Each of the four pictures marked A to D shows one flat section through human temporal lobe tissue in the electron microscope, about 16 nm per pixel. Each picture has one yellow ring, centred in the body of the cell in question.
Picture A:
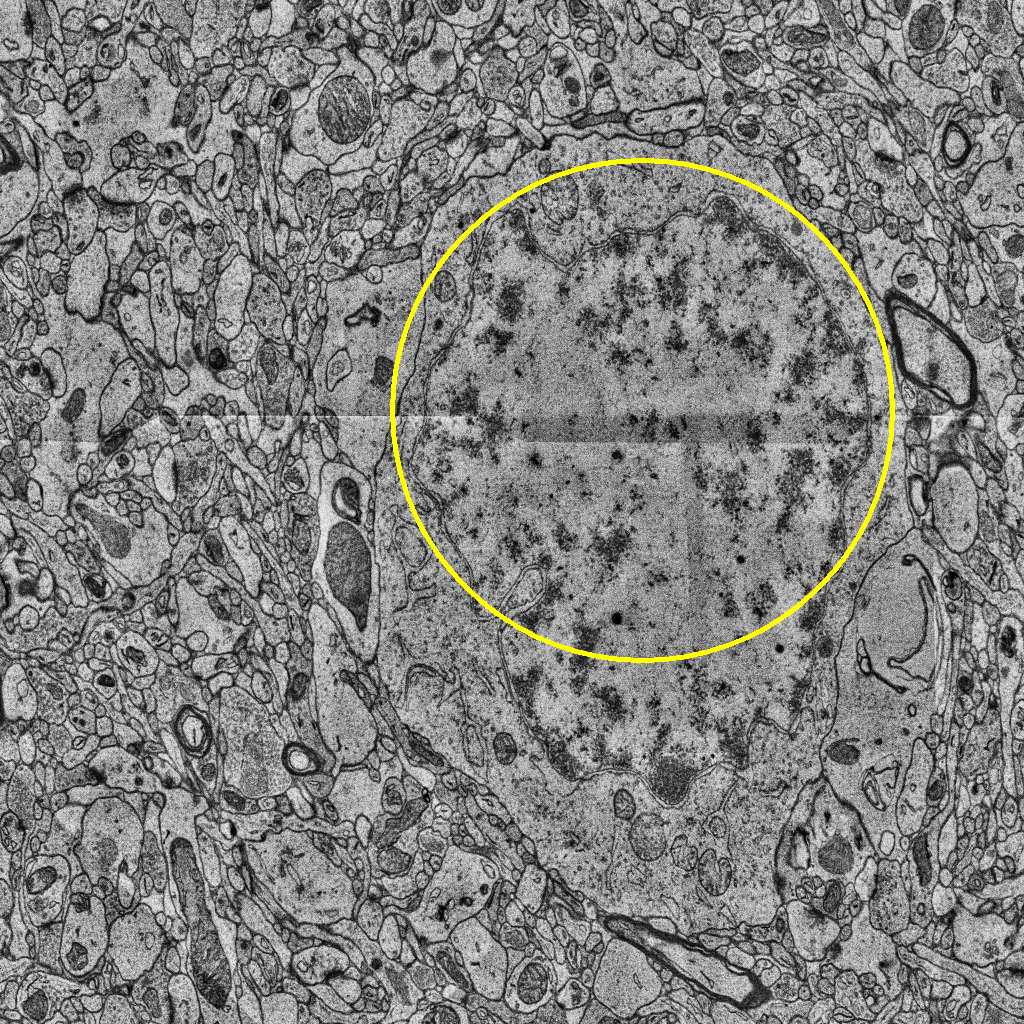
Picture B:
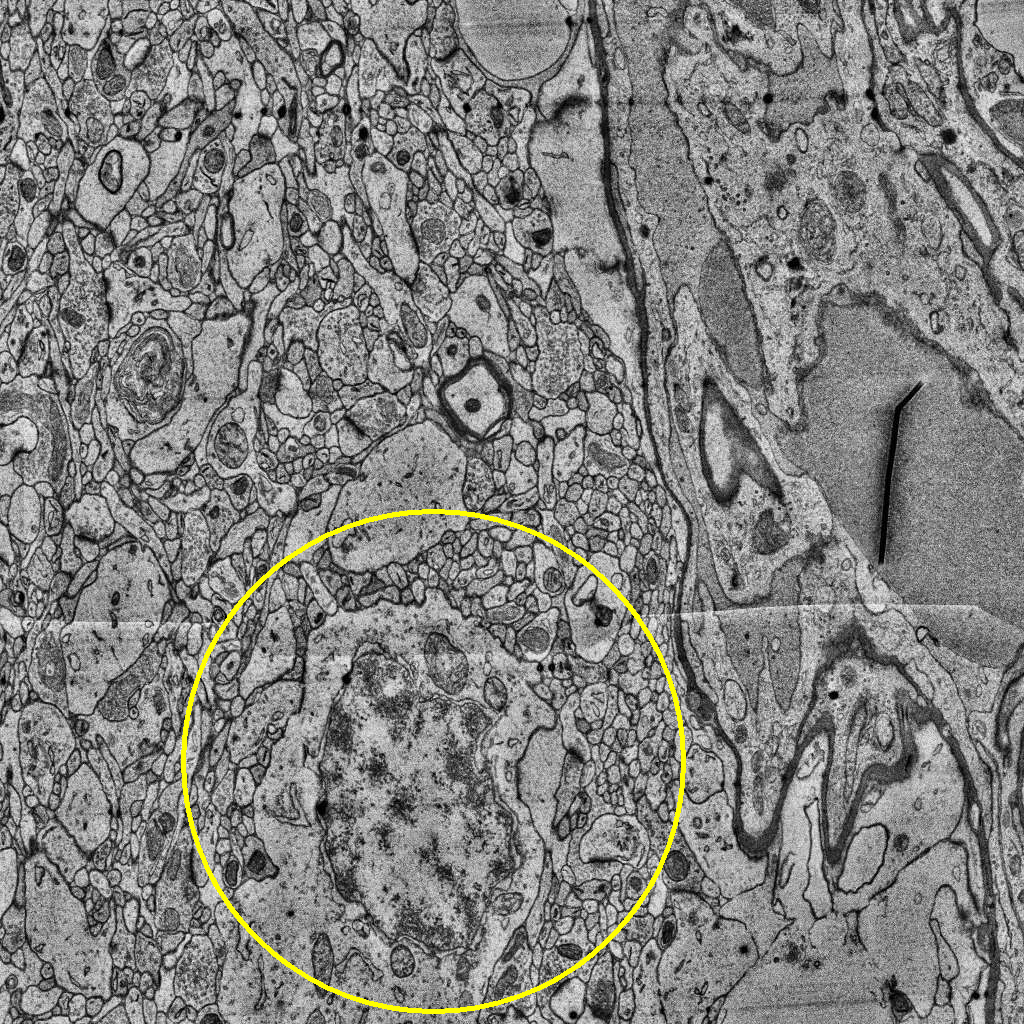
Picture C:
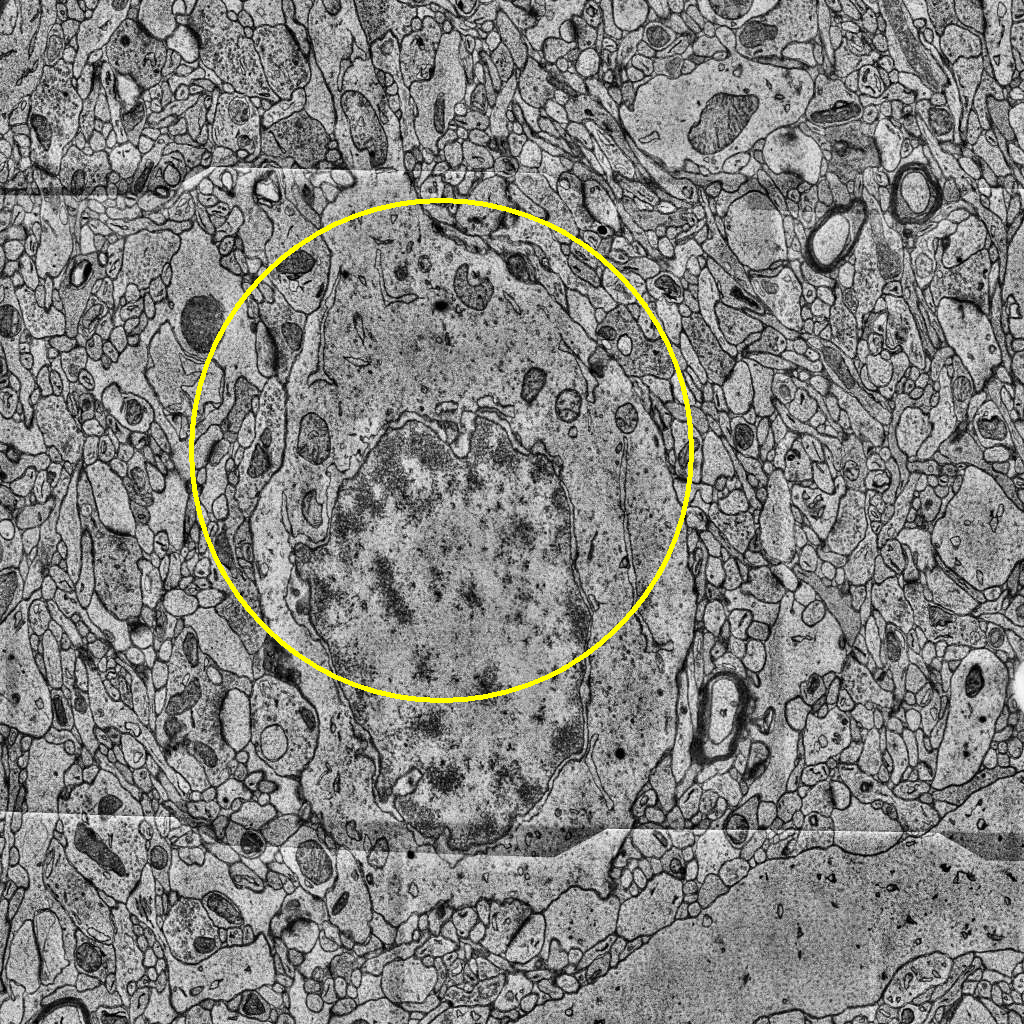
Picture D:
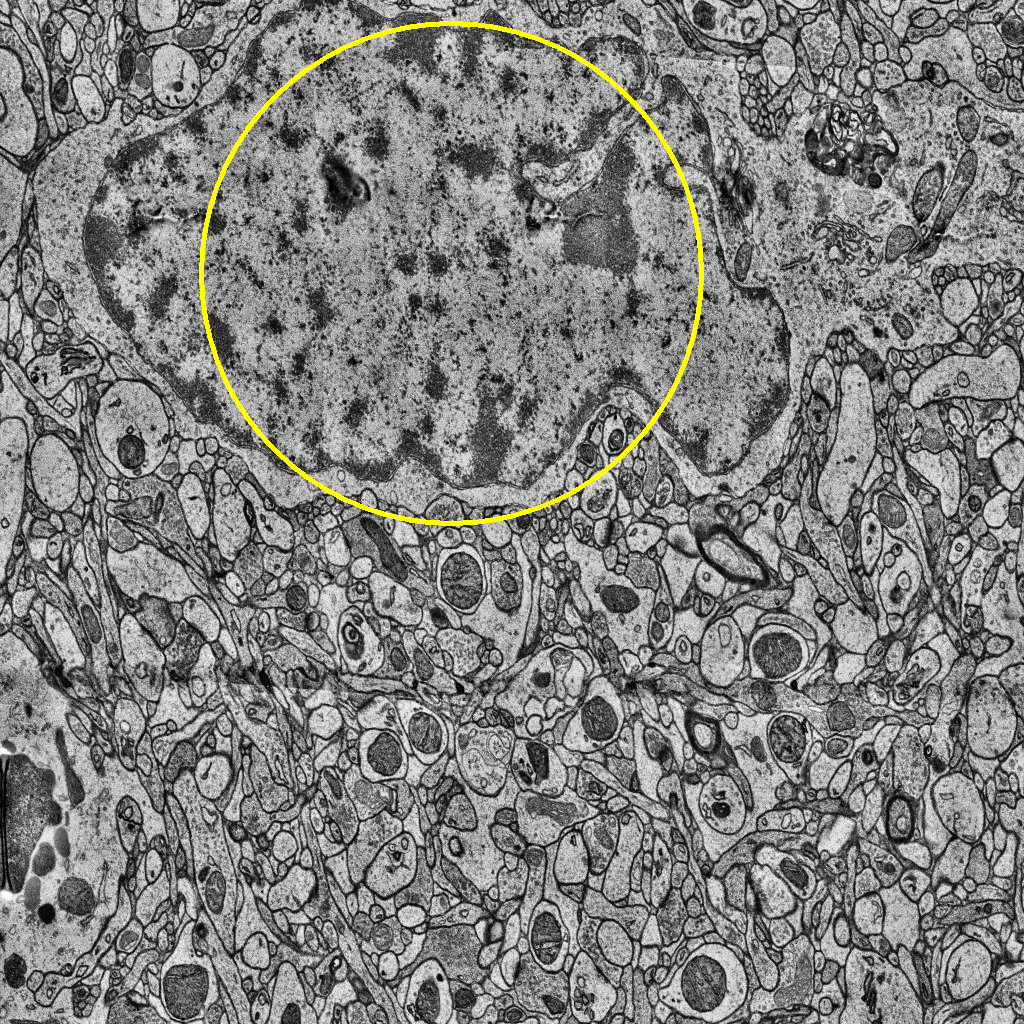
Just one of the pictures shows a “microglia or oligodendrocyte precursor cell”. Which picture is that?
It is picture D that shows the “microglia or oligodendrocyte precursor cell”.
